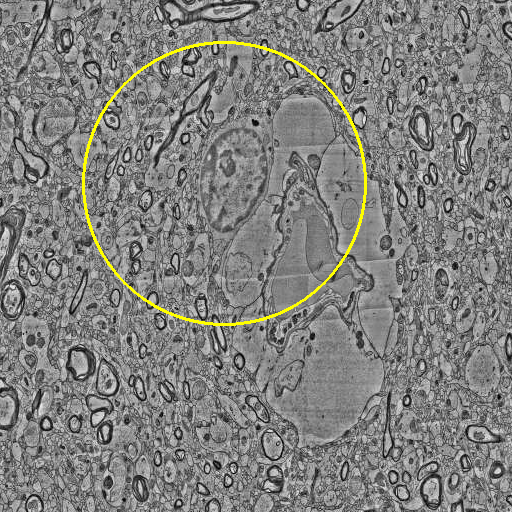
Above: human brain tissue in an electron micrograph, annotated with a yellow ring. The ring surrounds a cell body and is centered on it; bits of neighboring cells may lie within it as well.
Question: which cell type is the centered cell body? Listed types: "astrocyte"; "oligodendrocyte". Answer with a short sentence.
The centered cell body is an oligodendrocyte.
